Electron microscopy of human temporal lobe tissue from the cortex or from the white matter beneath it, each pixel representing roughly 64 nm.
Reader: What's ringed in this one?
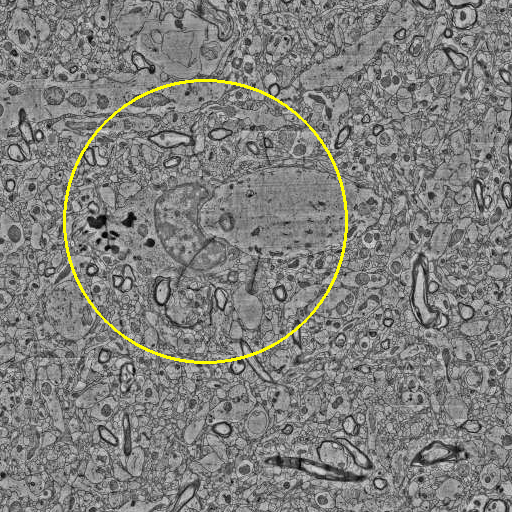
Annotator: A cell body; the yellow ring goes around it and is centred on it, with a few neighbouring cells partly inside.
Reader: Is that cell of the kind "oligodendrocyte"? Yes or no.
yes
